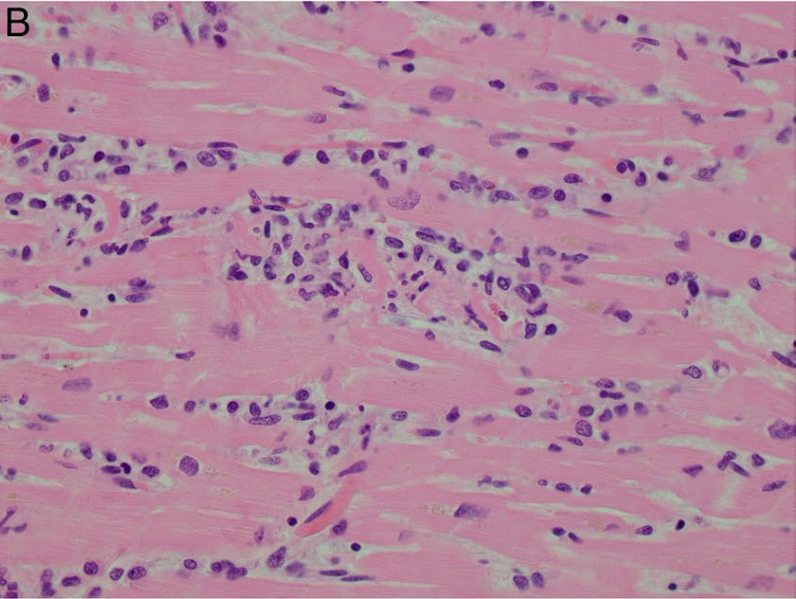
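This is heart muscle with long pink cardiomyocytes running horizontally, with oval central nuclei. Near the middle there is a small cluster of cells with elongated and round nuclei. Among these cells lie thin, pale pink strands, the remains of a dead muscle cell. Intact, more deeply pink muscle fibers run alongside, above and below.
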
